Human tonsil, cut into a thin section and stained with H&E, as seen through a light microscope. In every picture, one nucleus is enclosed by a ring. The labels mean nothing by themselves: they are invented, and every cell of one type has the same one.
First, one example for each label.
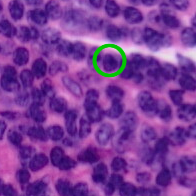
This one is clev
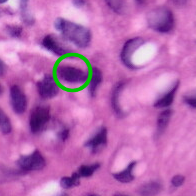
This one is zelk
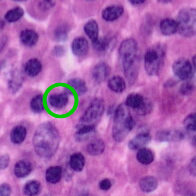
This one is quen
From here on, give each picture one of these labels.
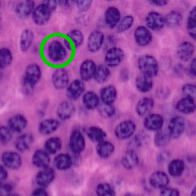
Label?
quen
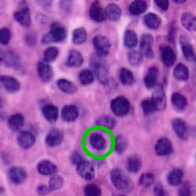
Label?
quen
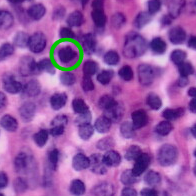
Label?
quen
